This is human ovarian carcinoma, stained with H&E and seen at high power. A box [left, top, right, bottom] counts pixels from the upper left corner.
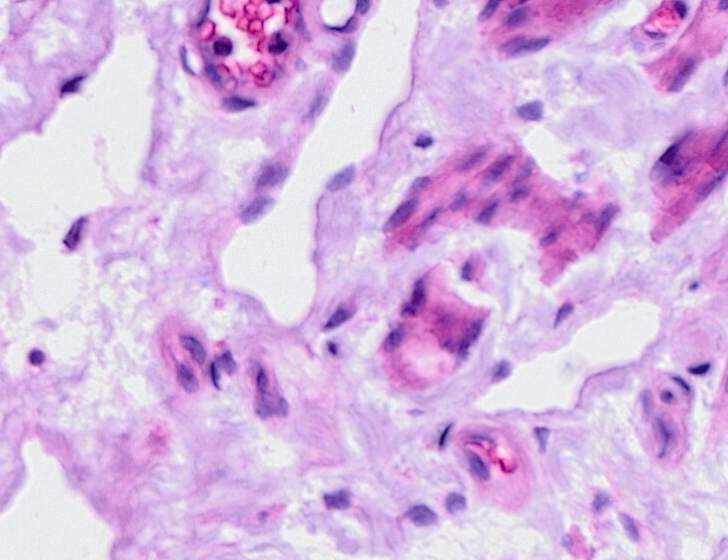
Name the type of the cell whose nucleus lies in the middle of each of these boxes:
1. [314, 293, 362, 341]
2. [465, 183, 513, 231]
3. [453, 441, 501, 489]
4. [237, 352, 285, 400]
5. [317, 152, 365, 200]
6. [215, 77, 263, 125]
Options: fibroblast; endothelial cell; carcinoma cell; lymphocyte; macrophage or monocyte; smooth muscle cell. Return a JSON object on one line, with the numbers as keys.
{"1": "fibroblast", "2": "smooth muscle cell", "3": "endothelial cell", "4": "endothelial cell", "5": "endothelial cell", "6": "fibroblast"}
